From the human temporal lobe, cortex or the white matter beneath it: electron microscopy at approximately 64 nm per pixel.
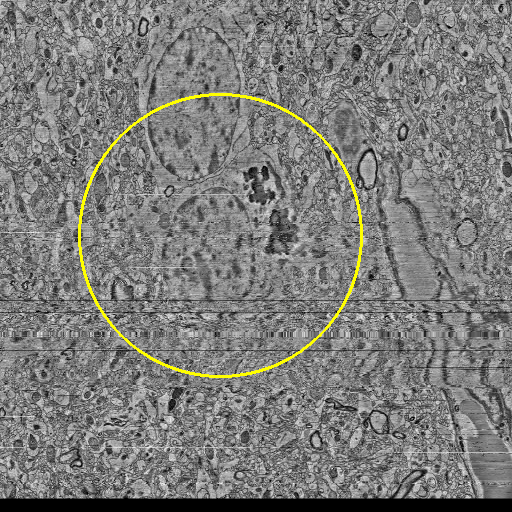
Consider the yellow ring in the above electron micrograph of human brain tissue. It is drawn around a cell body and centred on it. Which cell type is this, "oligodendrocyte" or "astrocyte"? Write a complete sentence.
The cell in question is an astrocyte.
